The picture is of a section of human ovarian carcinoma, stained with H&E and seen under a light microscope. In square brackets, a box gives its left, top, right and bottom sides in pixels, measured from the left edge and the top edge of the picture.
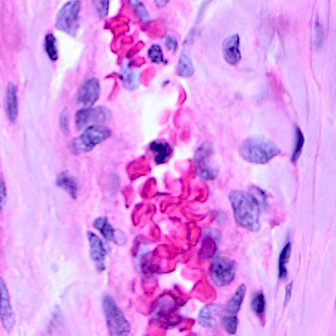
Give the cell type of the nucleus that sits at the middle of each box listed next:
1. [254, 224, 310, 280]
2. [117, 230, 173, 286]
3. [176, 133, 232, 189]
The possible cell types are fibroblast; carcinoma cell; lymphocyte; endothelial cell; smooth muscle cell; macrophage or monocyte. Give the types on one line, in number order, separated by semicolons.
fibroblast; endothelial cell; endothelial cell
